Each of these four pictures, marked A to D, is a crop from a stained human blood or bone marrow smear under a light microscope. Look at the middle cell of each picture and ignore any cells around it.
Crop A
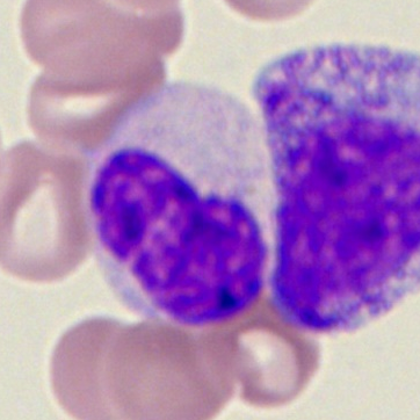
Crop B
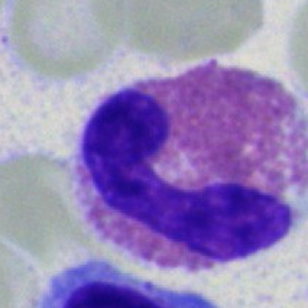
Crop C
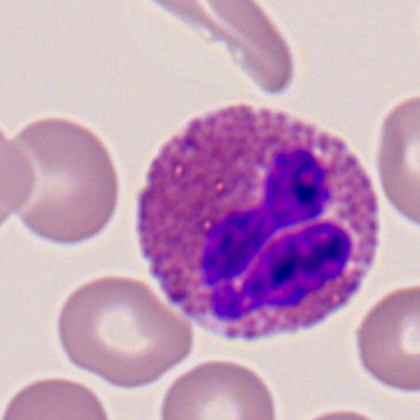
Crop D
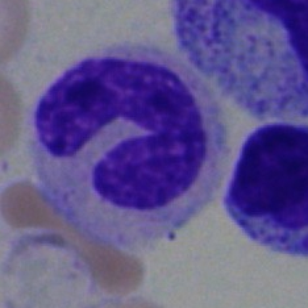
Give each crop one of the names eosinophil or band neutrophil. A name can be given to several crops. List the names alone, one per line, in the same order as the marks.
band neutrophil
eosinophil
eosinophil
band neutrophil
